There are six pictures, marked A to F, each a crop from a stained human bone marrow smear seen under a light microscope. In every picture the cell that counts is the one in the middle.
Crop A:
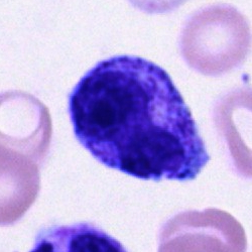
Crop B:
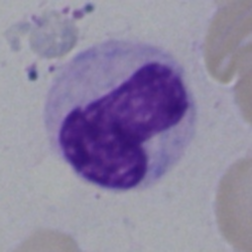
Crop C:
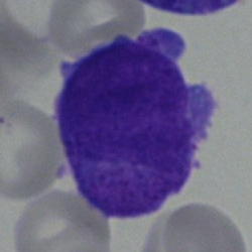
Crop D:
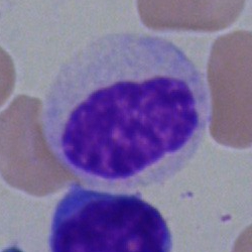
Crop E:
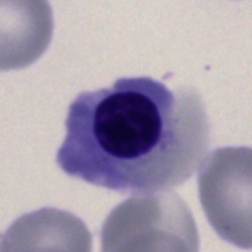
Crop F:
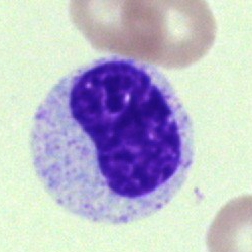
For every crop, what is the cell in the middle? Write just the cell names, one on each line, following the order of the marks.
metamyelocyte
metamyelocyte
blast
metamyelocyte
erythroblast
metamyelocyte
